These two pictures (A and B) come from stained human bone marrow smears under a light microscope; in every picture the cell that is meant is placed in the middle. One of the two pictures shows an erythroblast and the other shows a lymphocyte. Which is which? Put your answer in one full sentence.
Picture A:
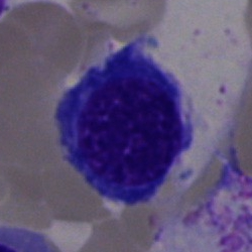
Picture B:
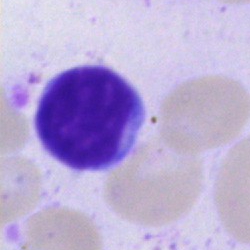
It is picture A that shows an erythroblast, and picture B that shows a lymphocyte.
